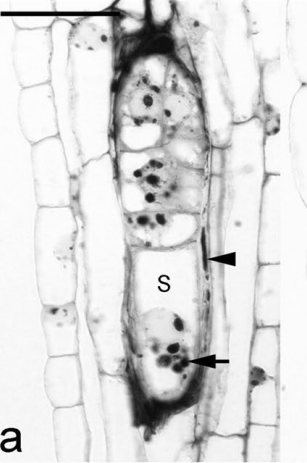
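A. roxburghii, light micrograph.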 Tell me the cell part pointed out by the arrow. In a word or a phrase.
Starch grains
